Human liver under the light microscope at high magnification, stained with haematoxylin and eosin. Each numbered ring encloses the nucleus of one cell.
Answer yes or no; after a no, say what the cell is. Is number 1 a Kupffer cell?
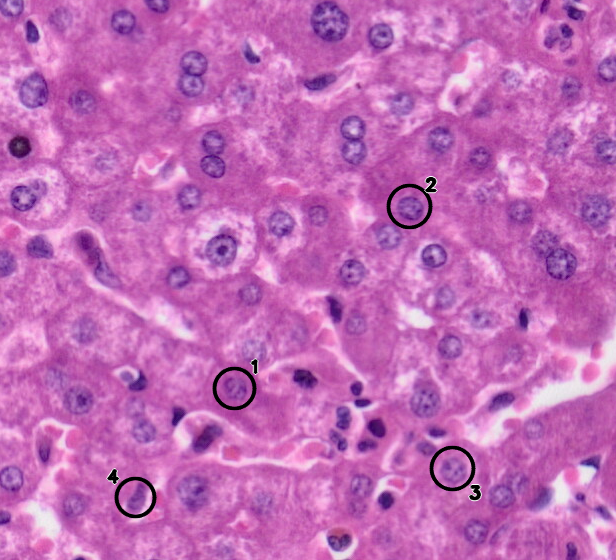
No, it is a hepatocyte.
